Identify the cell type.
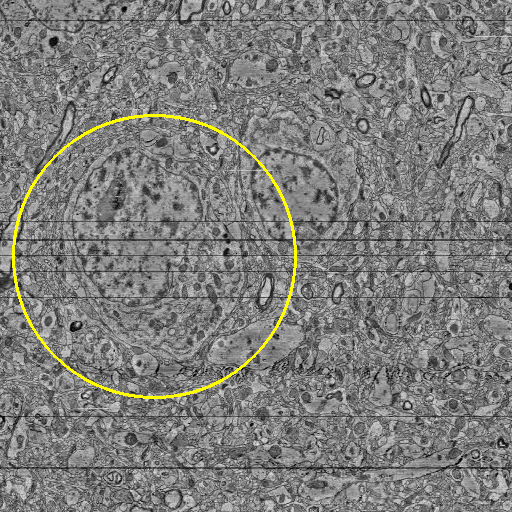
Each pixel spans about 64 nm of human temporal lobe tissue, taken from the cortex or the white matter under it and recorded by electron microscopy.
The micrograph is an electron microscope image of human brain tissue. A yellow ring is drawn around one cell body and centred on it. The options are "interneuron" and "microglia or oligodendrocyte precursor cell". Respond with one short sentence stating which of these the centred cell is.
The cell body in the ring belongs to an interneuron.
